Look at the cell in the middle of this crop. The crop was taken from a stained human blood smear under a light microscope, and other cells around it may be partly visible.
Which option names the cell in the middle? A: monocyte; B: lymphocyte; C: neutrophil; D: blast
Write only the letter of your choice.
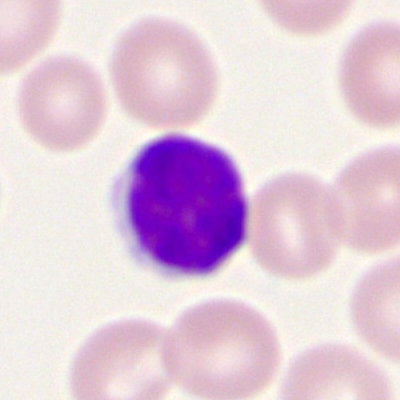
B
